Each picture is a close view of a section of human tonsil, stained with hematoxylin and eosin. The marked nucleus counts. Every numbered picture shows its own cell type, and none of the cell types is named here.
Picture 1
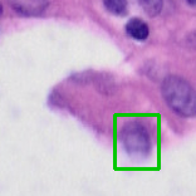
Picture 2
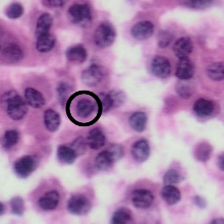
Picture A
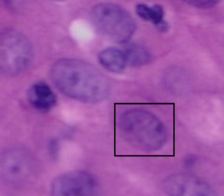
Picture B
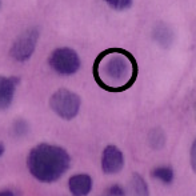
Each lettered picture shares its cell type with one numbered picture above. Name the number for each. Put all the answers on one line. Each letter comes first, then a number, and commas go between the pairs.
A 1, B 1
